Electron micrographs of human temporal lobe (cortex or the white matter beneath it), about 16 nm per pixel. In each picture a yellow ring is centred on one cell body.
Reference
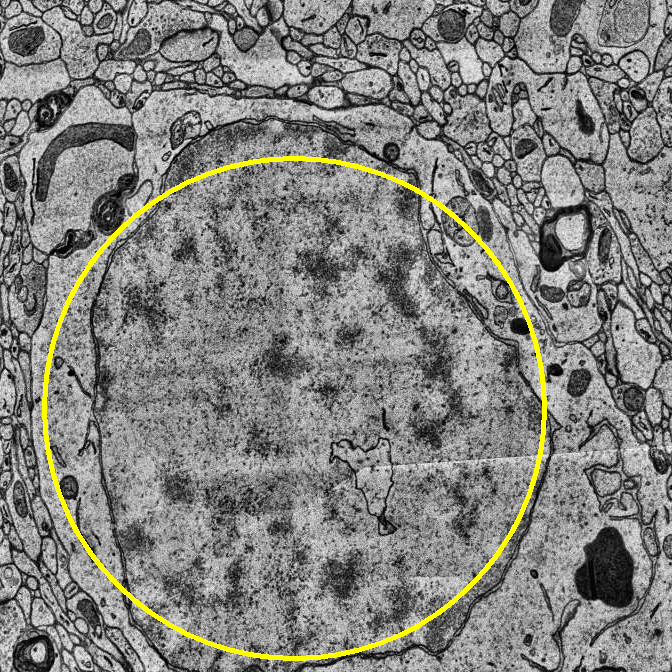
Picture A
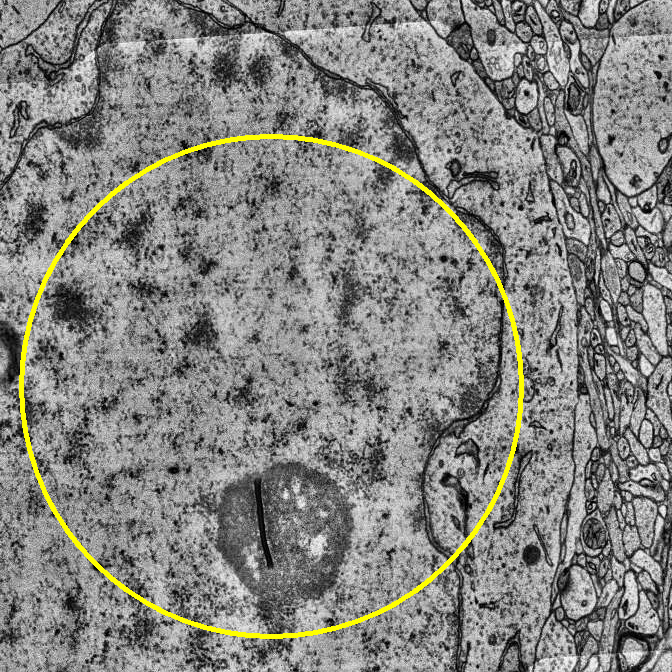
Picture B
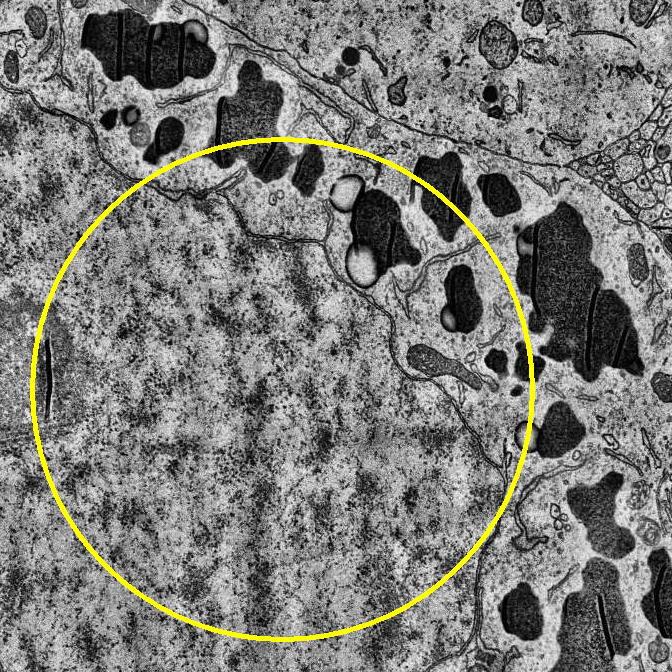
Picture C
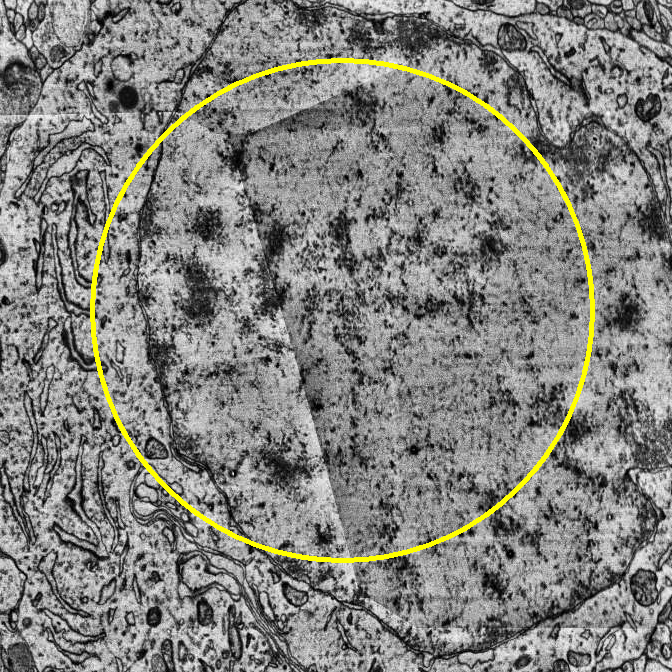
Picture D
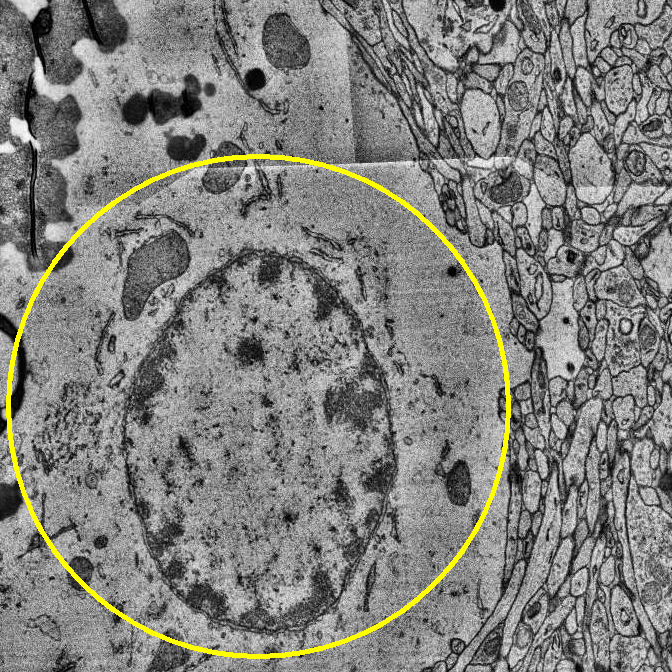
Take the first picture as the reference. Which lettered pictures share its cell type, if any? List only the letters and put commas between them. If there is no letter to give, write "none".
A, B, C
